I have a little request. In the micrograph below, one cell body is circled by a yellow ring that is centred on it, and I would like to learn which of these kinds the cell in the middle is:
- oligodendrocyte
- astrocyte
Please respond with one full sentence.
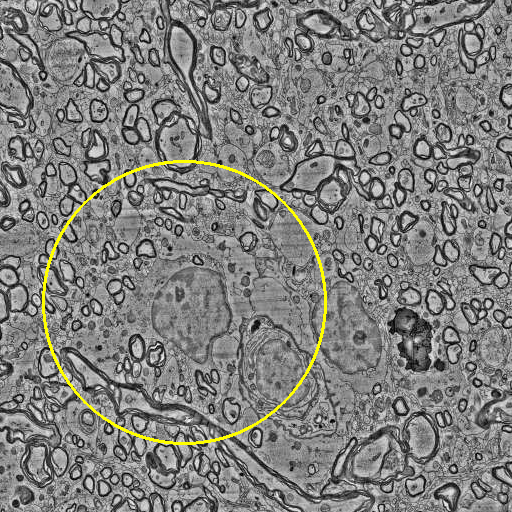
The cell sitting in the middle of the yellow ring in the micrograph is an oligodendrocyte.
